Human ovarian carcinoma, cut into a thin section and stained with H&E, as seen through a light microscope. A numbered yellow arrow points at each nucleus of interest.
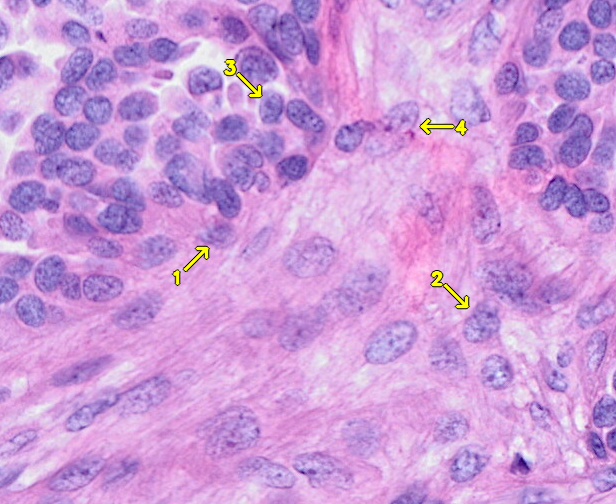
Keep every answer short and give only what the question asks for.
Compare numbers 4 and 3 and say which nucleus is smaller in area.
3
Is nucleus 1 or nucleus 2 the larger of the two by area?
2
